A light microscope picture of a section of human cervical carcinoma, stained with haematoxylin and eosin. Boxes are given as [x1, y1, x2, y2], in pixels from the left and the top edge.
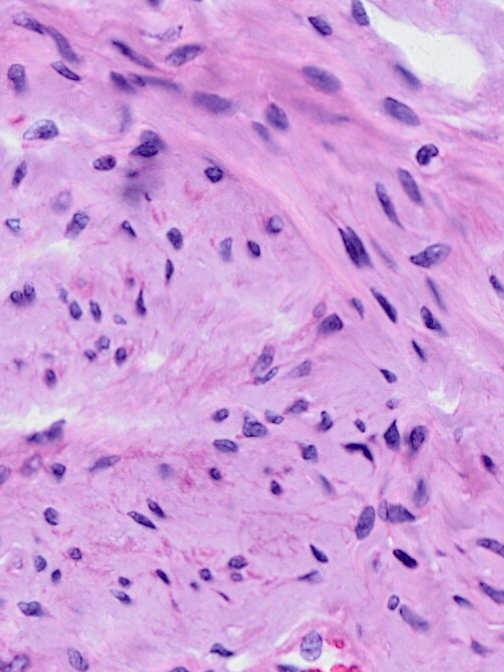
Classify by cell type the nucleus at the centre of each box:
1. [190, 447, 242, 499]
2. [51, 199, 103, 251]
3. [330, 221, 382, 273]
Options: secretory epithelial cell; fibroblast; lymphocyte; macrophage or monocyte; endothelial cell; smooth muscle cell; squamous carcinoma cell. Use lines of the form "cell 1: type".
cell 1: smooth muscle cell
cell 2: fibroblast
cell 3: fibroblast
